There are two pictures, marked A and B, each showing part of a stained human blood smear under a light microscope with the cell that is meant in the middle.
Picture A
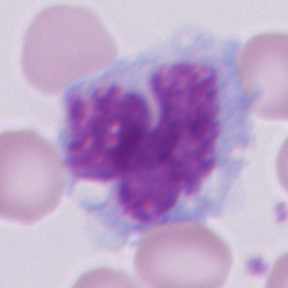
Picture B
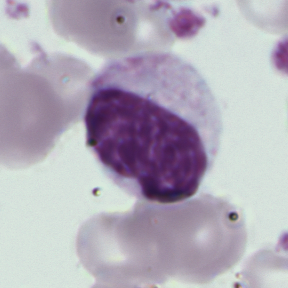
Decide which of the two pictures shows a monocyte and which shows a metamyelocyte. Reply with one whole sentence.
Picture A is of a monocyte, and picture B is of a metamyelocyte.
